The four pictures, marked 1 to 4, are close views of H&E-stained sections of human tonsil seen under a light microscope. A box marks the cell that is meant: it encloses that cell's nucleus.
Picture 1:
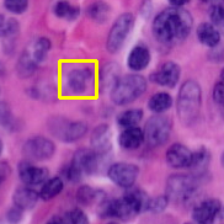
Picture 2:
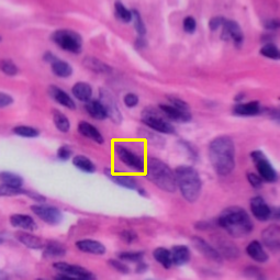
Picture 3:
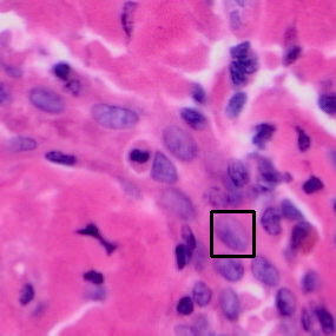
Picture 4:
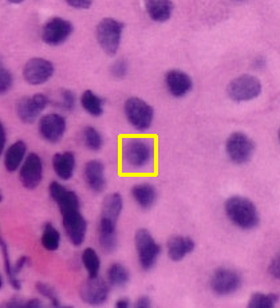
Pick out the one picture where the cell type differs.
4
